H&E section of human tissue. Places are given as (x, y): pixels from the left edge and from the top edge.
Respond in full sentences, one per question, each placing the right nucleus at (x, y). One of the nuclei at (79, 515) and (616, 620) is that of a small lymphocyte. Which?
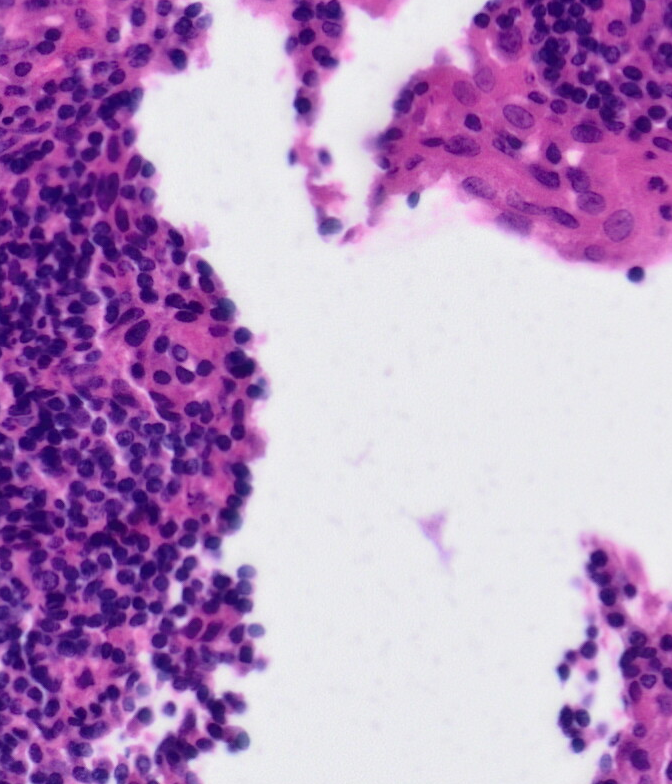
That would be the nucleus at (79, 515); it belongs to a small lymphocyte.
